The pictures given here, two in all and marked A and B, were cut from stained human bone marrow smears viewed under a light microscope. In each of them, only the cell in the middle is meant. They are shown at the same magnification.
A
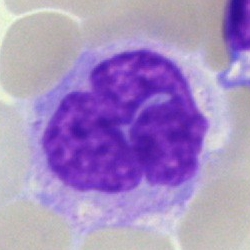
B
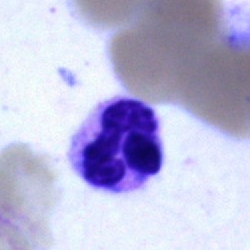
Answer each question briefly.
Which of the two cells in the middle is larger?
A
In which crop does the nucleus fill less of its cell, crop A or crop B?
B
